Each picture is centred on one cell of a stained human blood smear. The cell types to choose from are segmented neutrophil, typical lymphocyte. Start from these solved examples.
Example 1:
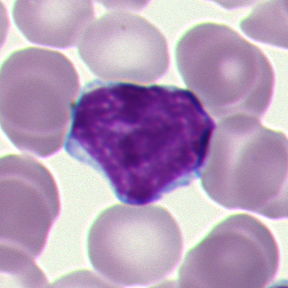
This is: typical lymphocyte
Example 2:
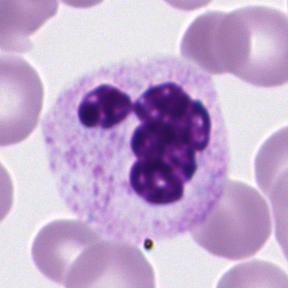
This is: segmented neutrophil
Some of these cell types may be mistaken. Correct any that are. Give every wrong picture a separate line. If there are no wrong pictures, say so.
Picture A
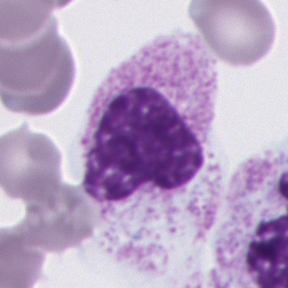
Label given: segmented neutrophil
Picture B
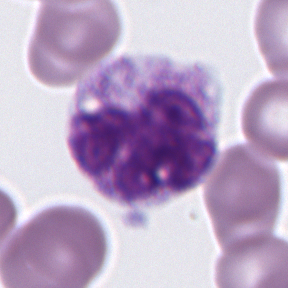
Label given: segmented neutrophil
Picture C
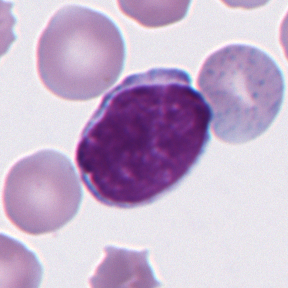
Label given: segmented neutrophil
C should be typical lymphocyte, not segmented neutrophil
